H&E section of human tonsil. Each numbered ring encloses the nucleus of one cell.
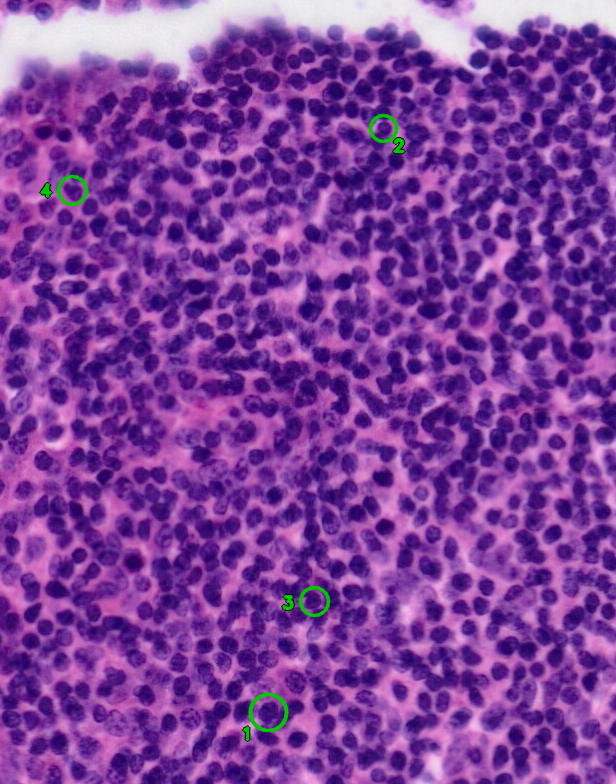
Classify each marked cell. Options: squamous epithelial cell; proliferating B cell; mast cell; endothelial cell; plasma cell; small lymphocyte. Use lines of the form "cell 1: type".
cell 1: small lymphocyte
cell 2: small lymphocyte
cell 3: small lymphocyte
cell 4: plasma cell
